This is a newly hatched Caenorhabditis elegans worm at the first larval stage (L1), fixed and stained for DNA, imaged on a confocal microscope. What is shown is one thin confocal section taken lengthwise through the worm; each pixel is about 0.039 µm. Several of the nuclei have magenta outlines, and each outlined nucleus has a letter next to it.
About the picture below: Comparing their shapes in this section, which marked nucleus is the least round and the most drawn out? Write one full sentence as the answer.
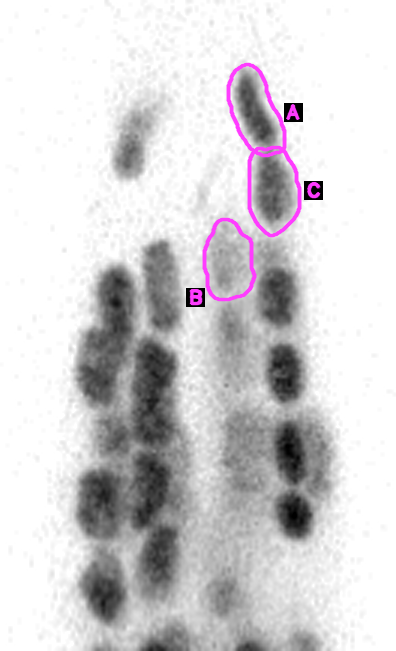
Nucleus A is the longest relative to its width.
